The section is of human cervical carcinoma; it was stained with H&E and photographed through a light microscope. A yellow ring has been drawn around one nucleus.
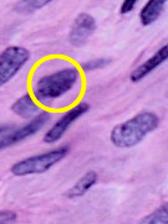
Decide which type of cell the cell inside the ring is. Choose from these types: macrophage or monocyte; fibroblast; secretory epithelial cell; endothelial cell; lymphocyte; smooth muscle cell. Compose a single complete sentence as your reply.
For cell typing purposes, the cell inside the ring is a fibroblast.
